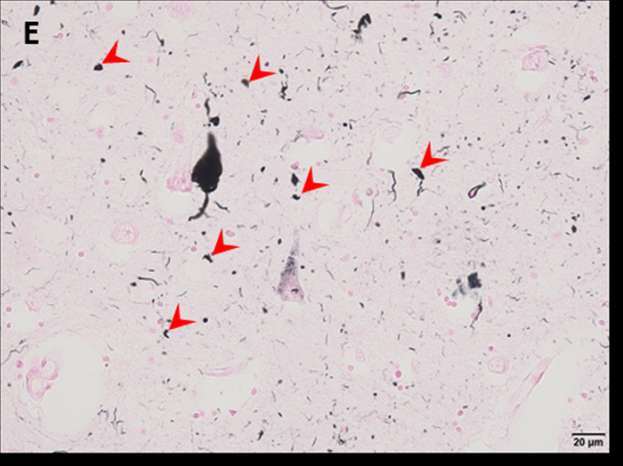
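Scattered black thread-like profiles also run through the neuropil. Among them lie a few neurons, one with a darkly black-stained cell body and process, another with a paler purplish body.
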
